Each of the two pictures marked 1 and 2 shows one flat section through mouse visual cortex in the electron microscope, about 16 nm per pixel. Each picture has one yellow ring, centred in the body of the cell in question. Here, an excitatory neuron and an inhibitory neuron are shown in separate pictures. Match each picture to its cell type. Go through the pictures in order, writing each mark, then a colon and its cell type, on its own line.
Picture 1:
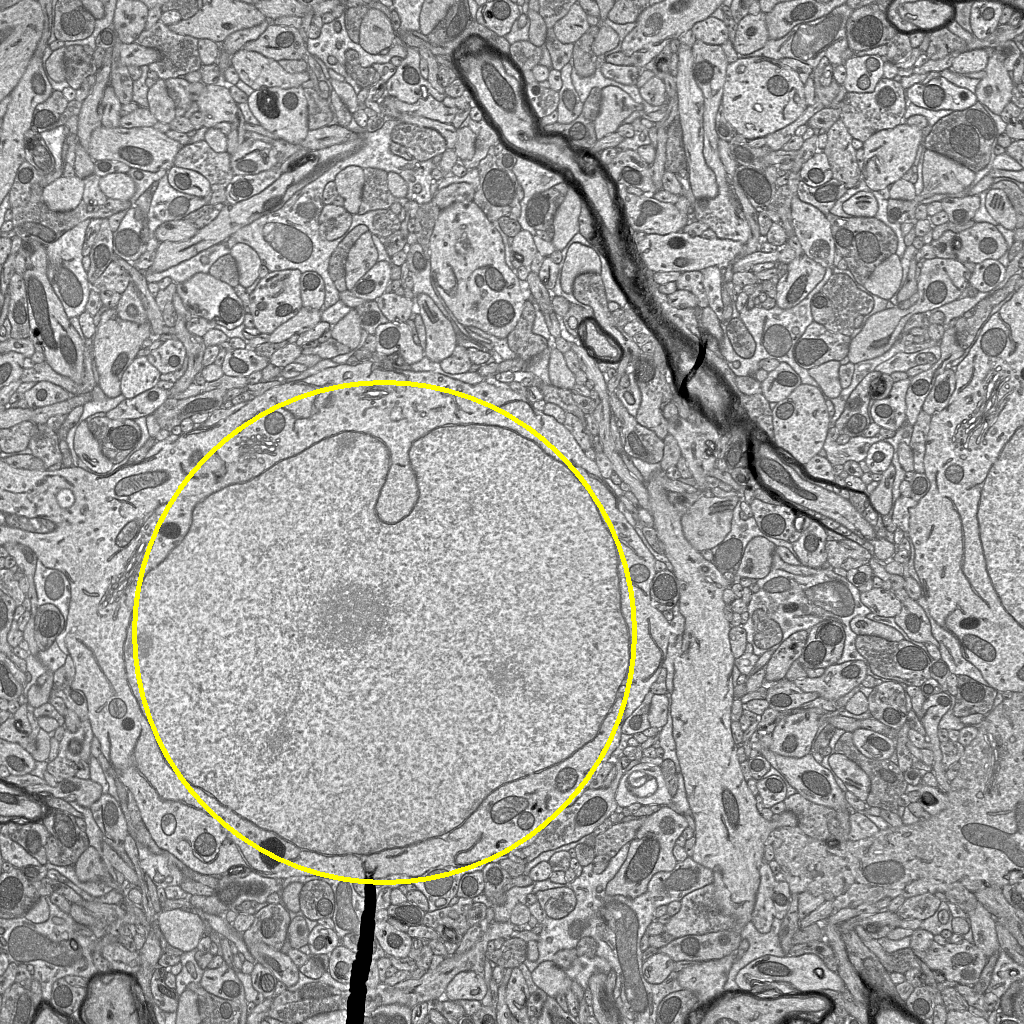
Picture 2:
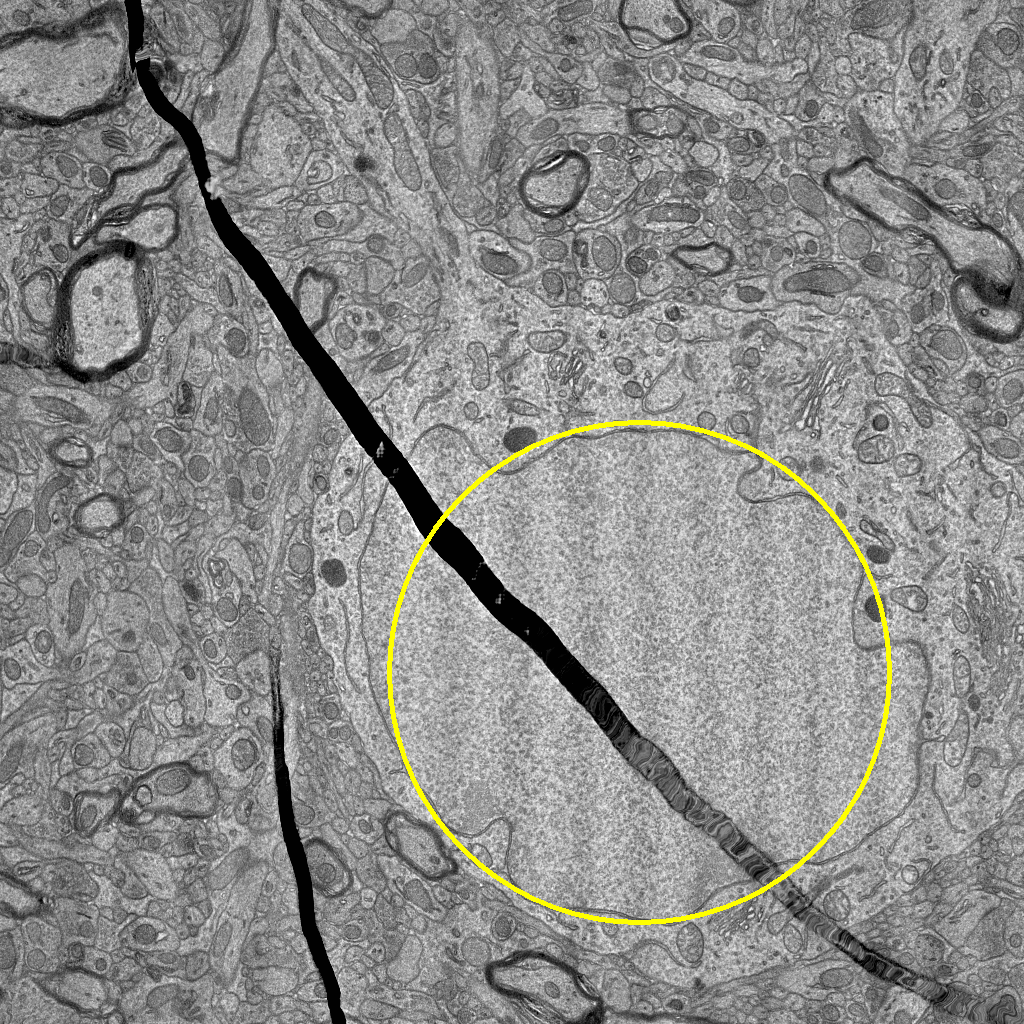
1: excitatory neuron
2: inhibitory neuron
